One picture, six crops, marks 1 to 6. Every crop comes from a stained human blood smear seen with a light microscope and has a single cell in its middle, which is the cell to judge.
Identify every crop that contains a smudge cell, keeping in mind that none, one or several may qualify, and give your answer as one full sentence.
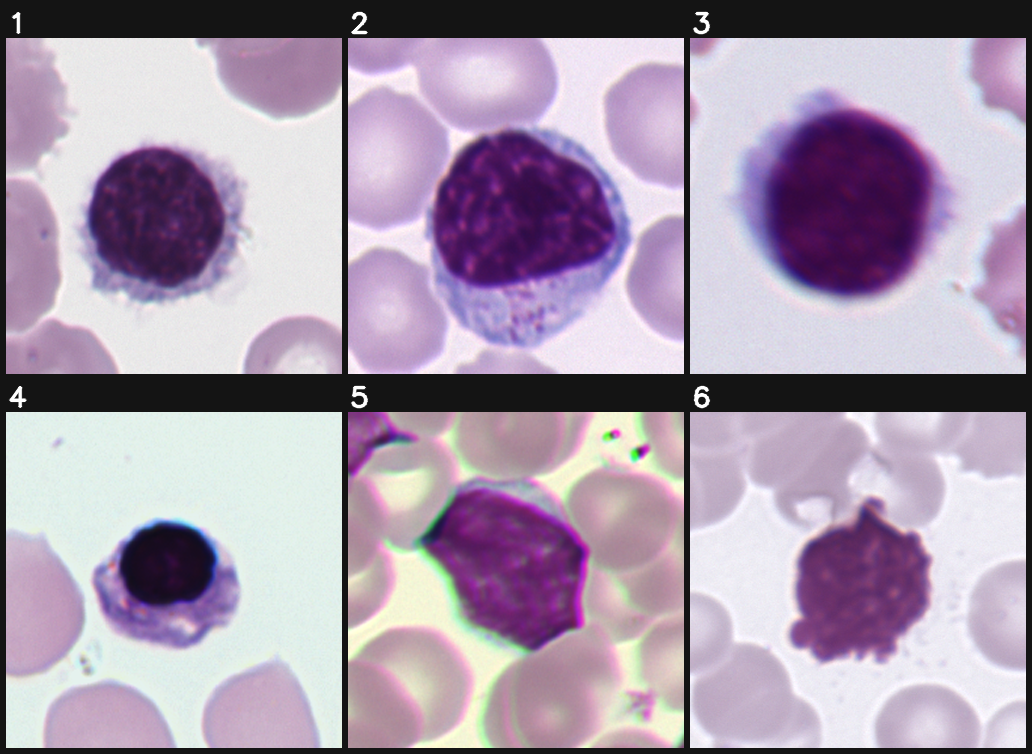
With the exception of crop 6, the crops do not show a smudge cell.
